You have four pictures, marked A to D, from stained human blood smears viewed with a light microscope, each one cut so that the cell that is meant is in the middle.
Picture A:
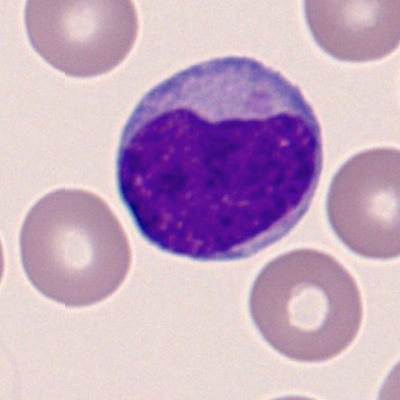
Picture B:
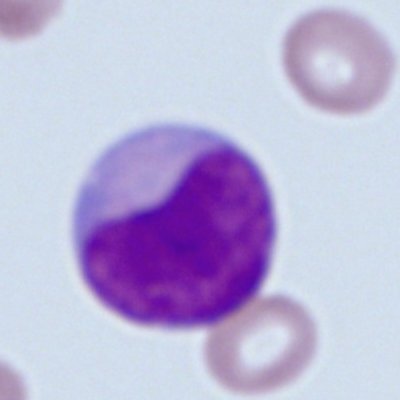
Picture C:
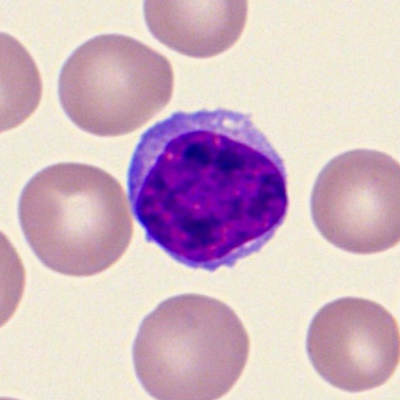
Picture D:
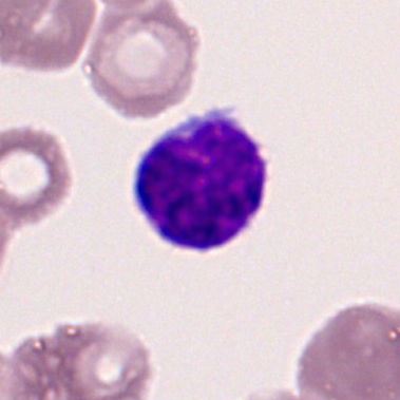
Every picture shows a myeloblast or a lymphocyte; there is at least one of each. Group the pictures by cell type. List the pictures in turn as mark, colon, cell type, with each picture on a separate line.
A: myeloblast
B: myeloblast
C: lymphocyte
D: lymphocyte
